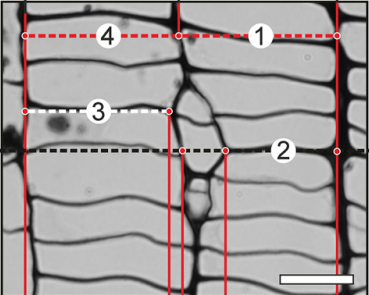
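This is a transverse section of the vascular cambium, with thin-walled, tangentially flattened cells lined up in regular radial files, their walls dark and their contents pale grey. Near the centre a narrow, irregular cell with curved walls is squeezed in between two neighbouring files, where an initial cell is growing intrusively; the adjacent cells bend around it and the files there lose their straight alignment. Thicker dark walls mark the boundaries between files, and the cell rows on either side of the wedge are offset from one another.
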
